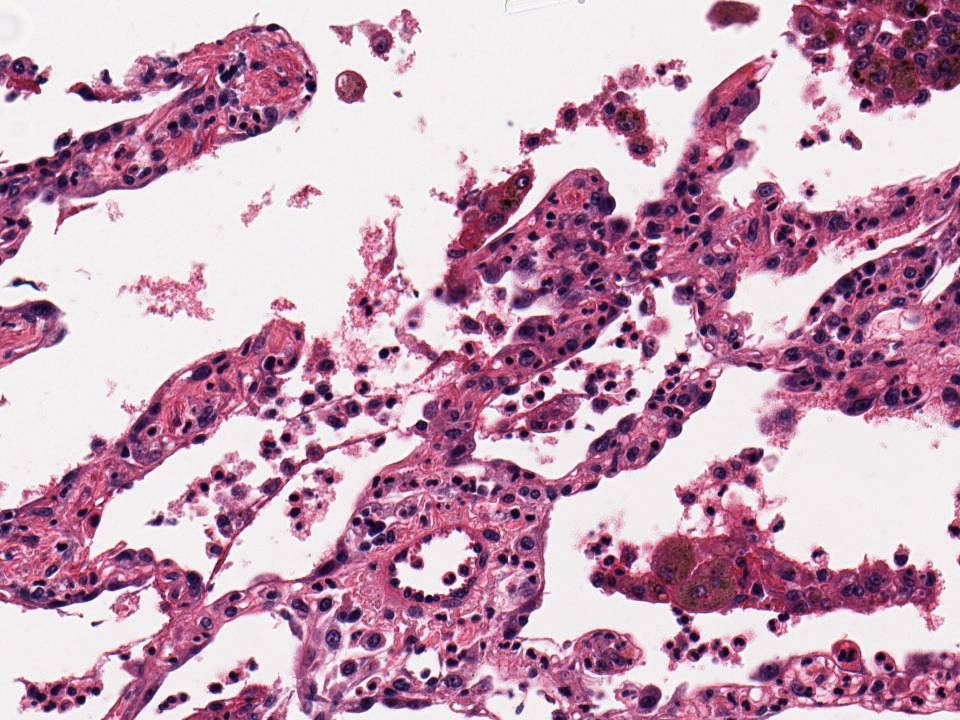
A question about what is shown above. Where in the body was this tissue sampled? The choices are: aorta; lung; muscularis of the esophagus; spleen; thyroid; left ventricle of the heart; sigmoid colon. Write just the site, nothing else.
lung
